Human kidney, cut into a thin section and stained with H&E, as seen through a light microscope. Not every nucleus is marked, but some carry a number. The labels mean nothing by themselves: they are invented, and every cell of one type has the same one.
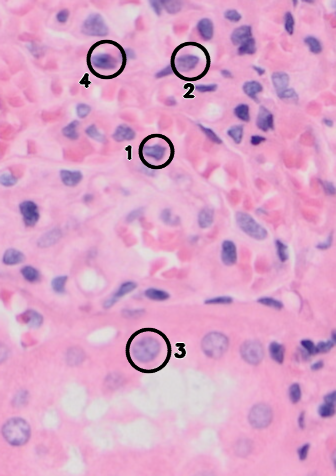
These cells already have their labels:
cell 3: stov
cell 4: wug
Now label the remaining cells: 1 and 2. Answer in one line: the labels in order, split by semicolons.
wug; wug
